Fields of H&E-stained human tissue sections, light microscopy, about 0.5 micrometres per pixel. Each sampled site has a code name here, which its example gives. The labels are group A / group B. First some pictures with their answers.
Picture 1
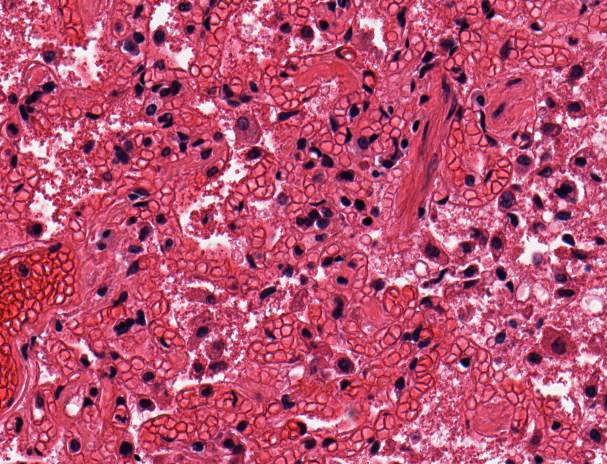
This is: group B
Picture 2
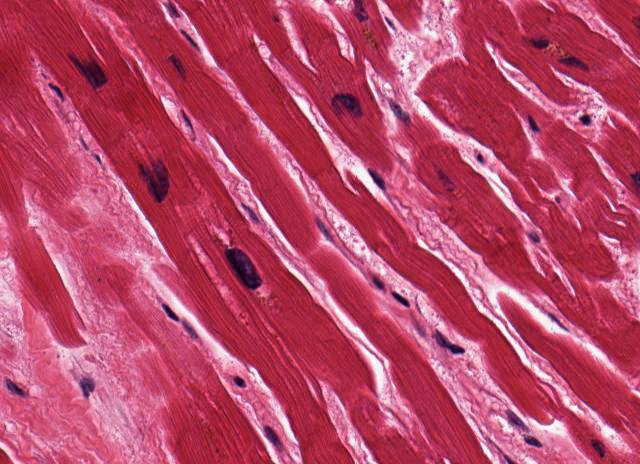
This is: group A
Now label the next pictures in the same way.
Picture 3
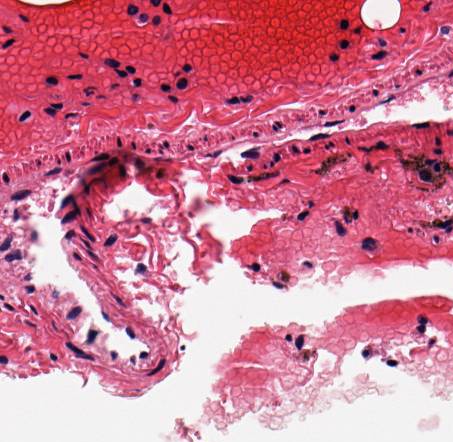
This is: group B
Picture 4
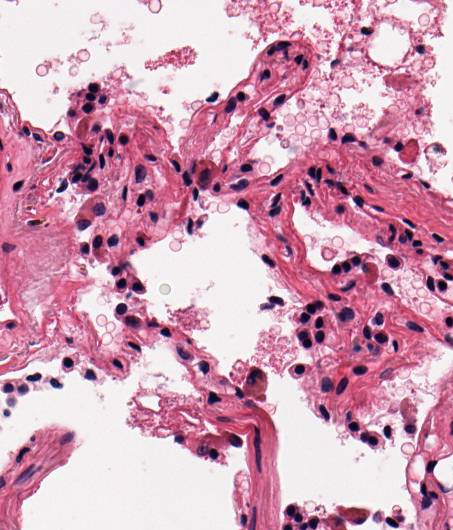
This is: group B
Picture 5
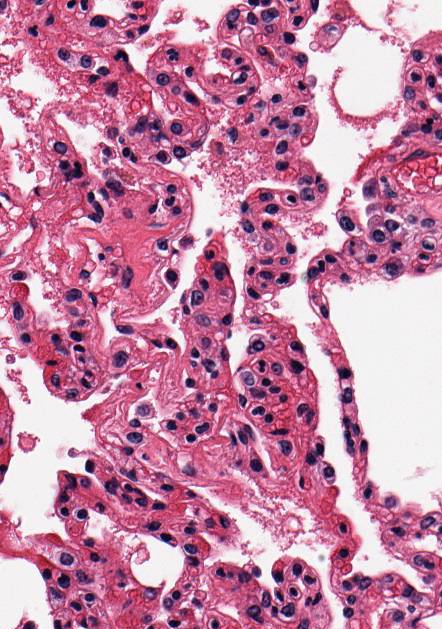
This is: group B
